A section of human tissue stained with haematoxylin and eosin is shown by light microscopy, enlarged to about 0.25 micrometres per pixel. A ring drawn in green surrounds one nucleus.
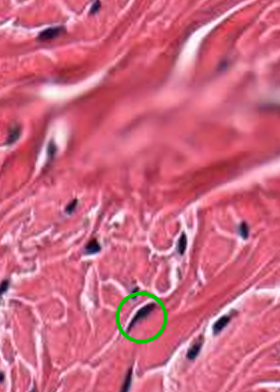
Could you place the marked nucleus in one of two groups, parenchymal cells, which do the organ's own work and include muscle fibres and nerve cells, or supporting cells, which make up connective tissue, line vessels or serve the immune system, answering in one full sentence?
Held by a supporting cell is the marked nucleus in this section.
